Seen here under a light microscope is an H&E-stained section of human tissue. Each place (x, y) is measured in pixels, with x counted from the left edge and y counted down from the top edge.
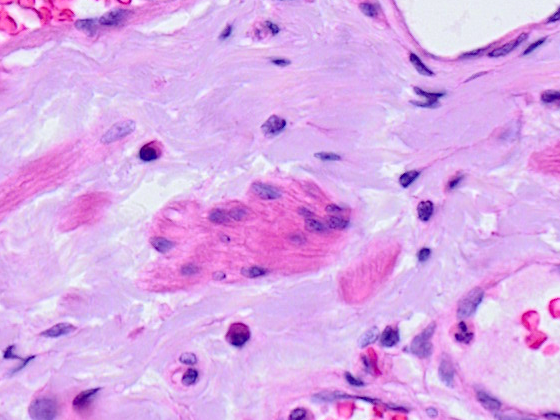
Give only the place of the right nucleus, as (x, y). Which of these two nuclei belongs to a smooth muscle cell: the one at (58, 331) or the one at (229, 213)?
(229, 213)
